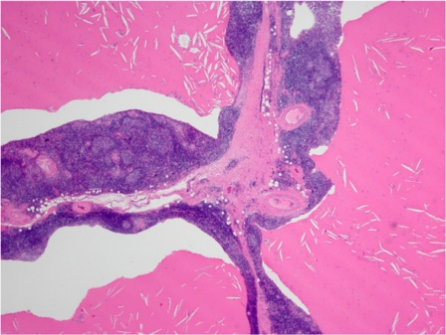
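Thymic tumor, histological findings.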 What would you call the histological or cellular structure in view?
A: cholesterol clefts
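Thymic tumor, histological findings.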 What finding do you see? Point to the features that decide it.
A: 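Large areas of homogeneous, acellular pink material fill the spaces on either side of the tissue band. The pink material contains no nuclei.
Eosinophilic proteinous secretion.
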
